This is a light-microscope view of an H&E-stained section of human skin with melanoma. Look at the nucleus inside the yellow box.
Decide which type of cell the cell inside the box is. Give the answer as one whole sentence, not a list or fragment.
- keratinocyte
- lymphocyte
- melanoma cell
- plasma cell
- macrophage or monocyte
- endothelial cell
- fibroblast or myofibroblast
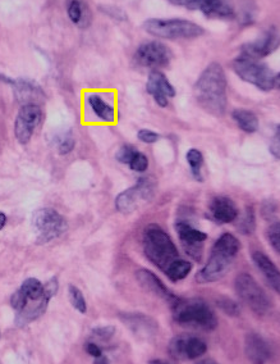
For cell typing purposes, the cell inside the box is a lymphocyte.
